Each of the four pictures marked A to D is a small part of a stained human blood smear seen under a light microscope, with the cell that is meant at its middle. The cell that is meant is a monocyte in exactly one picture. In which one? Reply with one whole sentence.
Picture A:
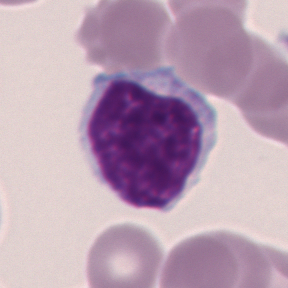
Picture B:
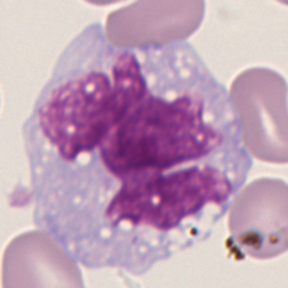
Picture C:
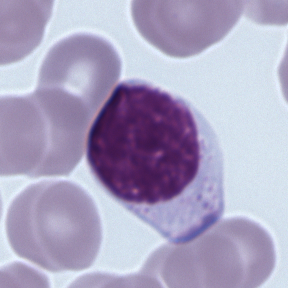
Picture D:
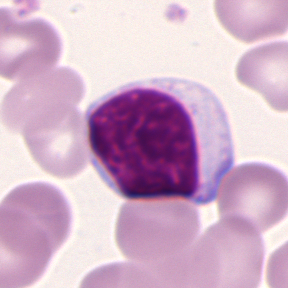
The picture with the monocyte is B.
